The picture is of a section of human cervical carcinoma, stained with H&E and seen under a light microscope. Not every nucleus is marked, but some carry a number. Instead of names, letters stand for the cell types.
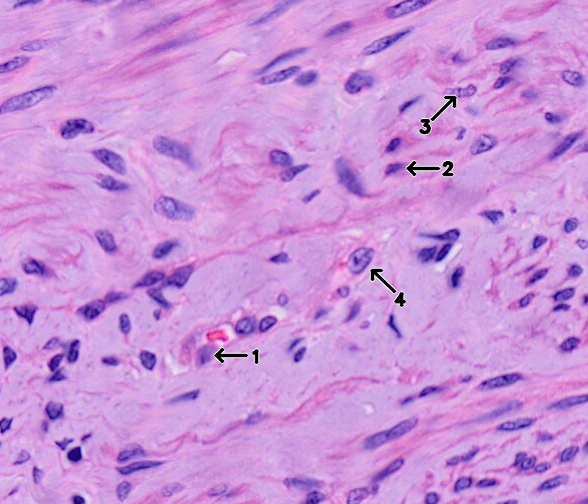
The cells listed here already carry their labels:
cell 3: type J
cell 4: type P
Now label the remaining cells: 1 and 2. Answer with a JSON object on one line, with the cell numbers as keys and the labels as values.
{"1": "type P", "2": "type J"}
